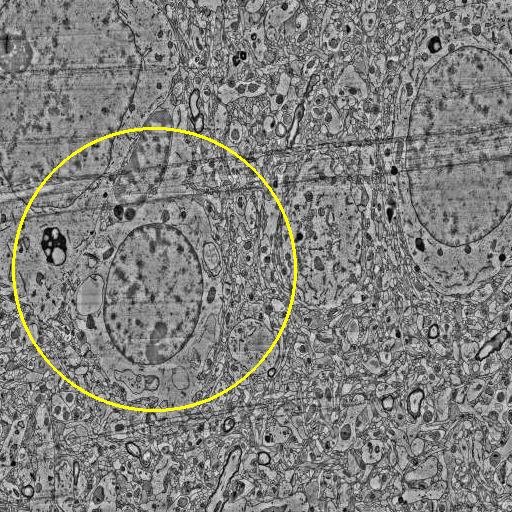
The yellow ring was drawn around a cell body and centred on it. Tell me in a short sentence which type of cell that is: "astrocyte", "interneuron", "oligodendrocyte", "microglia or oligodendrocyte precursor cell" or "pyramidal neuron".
The cell at the ring's centre is an astrocyte.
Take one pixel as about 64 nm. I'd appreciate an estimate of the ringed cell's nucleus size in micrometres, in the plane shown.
In this plane, roughly 9 by 6 micrometres.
